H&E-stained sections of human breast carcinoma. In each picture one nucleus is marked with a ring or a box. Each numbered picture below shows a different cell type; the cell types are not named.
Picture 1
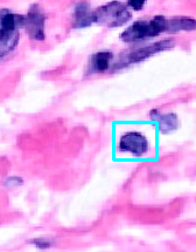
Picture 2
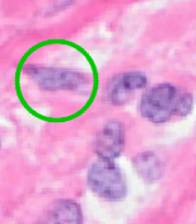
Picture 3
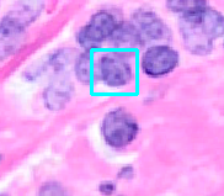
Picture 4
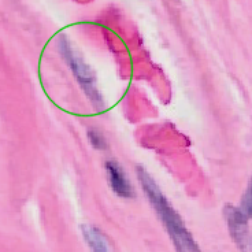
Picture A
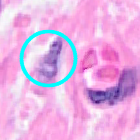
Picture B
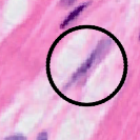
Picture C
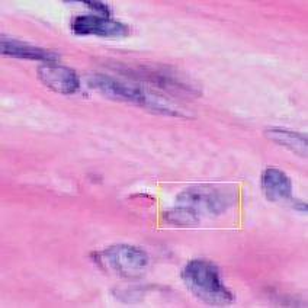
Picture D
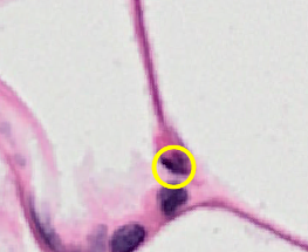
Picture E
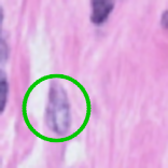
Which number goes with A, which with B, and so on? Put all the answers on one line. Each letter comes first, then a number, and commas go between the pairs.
A 2, B 2, C 4, D 4, E 2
